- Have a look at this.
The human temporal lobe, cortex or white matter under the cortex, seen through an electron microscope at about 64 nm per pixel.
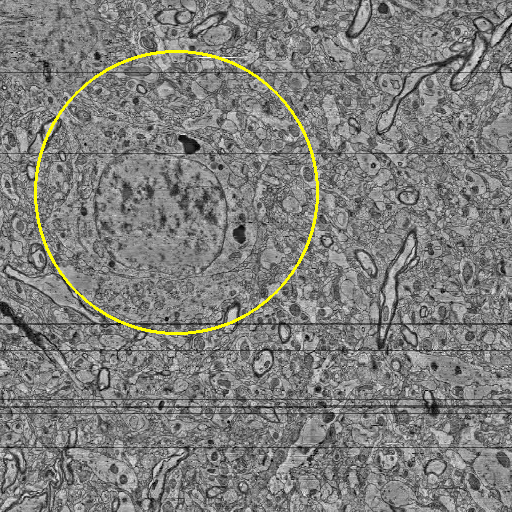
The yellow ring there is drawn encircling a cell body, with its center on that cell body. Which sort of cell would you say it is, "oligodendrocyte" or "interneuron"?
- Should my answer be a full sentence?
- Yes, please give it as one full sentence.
For this picture, an interneuron is the cell where the yellow ring has its center.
